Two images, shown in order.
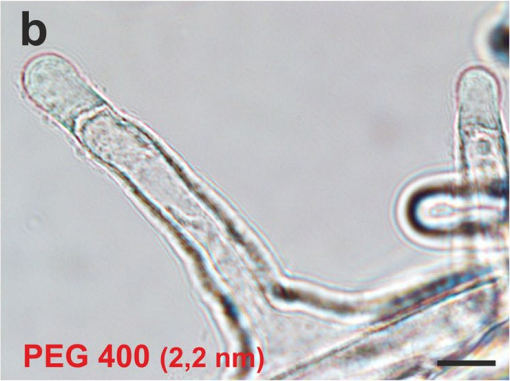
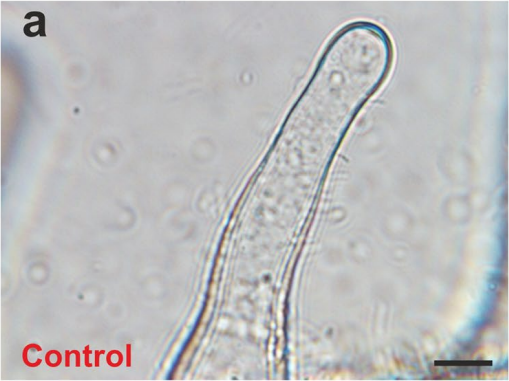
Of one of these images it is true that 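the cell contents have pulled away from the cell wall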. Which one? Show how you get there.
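The first image. First image: an inner boundary of the contents is separated from the wall by a clear gap. Second image: the contents fill the hair up to the wall with no gap.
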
